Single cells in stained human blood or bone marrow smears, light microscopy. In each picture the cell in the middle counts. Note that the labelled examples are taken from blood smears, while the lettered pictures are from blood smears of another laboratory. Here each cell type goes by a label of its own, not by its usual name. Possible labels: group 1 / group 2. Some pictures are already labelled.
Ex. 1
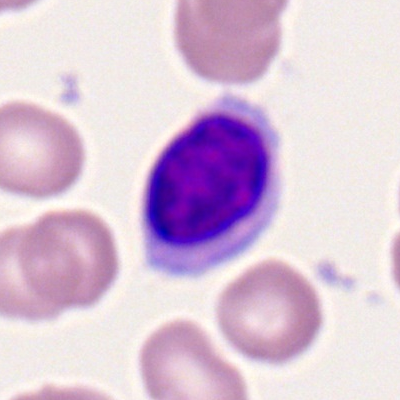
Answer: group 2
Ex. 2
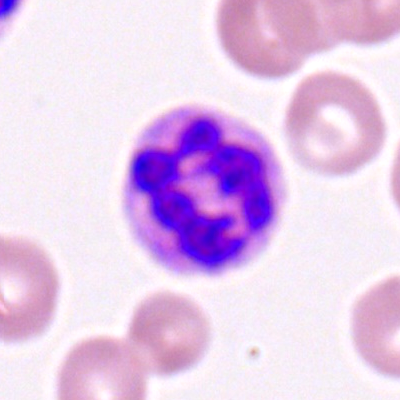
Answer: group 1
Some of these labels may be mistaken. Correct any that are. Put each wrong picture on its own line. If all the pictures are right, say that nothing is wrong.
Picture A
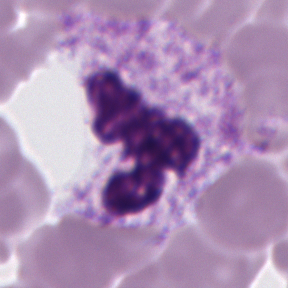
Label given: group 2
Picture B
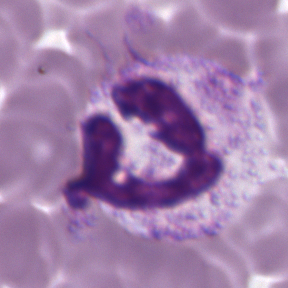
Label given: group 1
A: change group 2 to group 1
